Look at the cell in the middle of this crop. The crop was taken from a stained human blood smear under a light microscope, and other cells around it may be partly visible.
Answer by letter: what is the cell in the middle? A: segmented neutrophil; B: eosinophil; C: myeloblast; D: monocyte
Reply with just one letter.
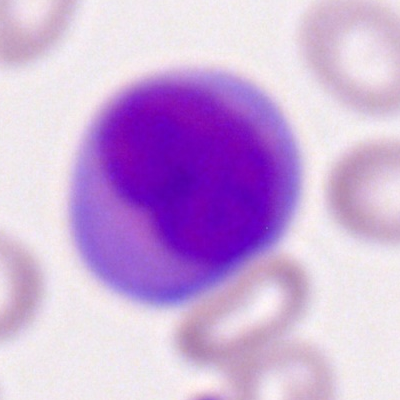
C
